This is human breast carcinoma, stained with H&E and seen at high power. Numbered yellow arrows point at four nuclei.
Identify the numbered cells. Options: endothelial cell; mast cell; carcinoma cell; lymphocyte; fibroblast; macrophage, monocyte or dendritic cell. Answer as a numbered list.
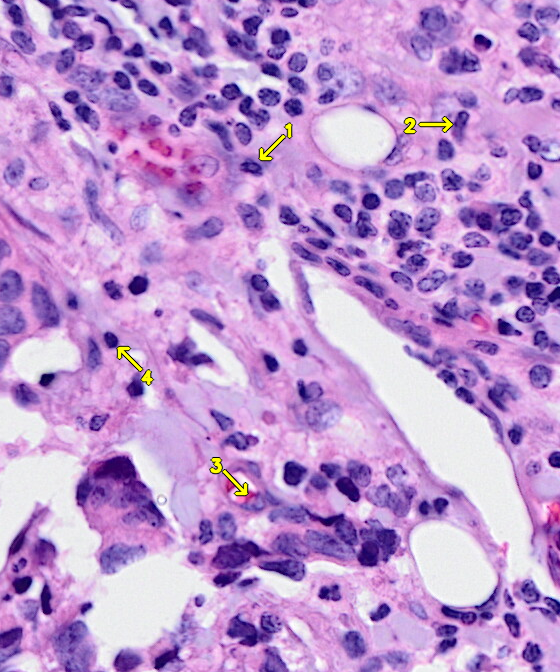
1. lymphocyte
2. lymphocyte
3. endothelial cell
4. lymphocyte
